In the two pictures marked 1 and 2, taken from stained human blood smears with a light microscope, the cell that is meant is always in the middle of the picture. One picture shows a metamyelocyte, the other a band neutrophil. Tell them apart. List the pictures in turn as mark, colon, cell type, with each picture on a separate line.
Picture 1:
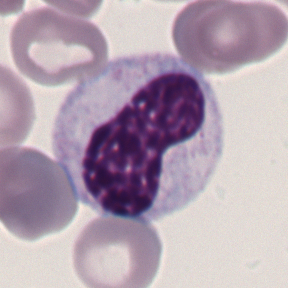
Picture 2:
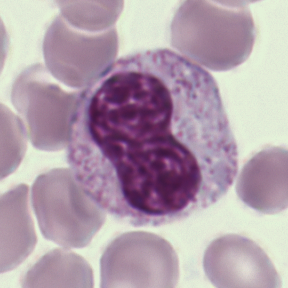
1: band neutrophil
2: metamyelocyte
